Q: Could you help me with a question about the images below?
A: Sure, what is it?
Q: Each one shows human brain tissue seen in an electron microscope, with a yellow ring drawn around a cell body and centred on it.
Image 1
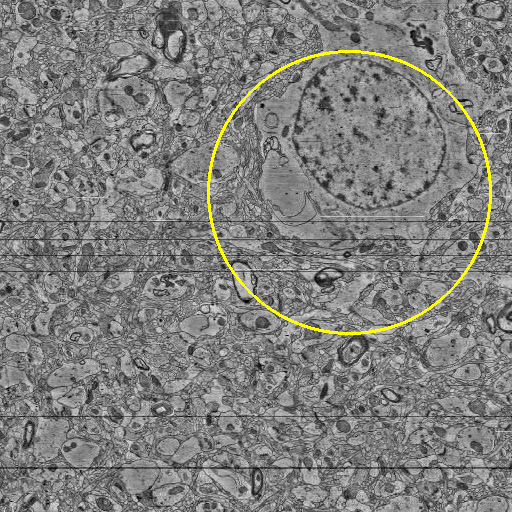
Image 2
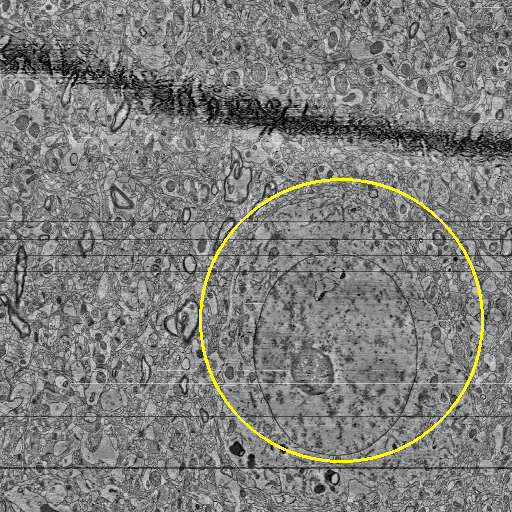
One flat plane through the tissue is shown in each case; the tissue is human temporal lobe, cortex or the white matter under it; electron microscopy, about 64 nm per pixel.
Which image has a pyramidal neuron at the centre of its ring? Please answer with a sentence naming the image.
Image 2 has it at the centre of its ring.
